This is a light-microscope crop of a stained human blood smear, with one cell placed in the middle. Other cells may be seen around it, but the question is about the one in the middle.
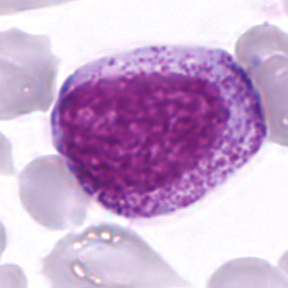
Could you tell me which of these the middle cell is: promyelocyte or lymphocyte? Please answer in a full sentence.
The cell of interest, located centrally, is a promyelocyte.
